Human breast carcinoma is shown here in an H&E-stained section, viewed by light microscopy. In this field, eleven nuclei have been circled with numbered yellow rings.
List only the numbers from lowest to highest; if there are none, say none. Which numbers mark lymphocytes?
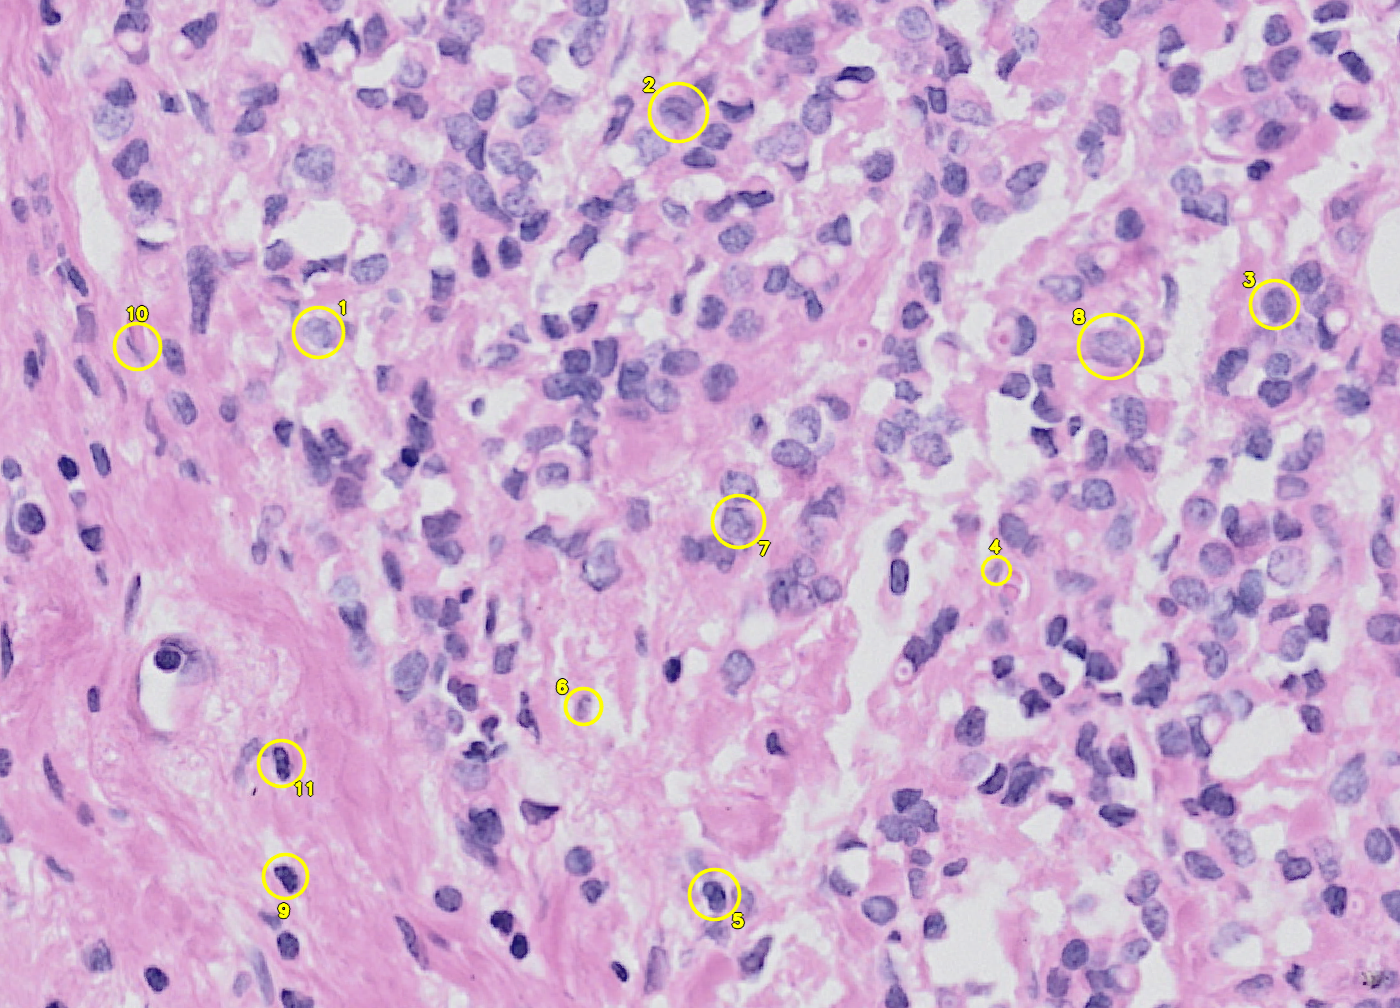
5, 9, 11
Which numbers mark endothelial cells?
4, 10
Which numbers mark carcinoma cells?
1, 2, 3, 7, 8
